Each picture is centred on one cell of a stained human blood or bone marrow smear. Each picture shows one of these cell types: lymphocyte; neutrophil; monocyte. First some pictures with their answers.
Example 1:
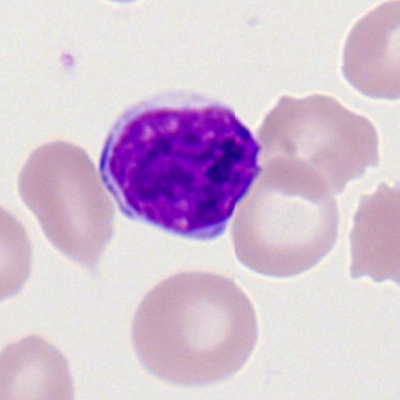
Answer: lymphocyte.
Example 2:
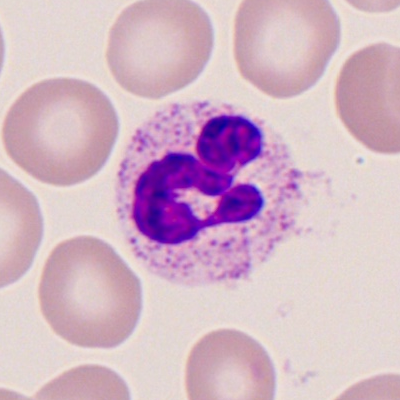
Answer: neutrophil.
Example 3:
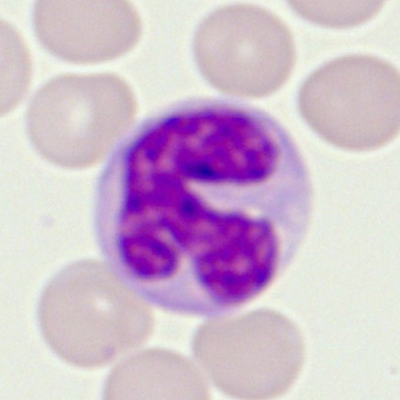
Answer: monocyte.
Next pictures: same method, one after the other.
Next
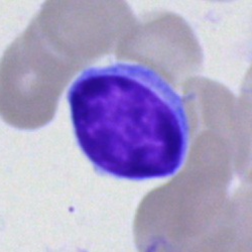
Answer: lymphocyte.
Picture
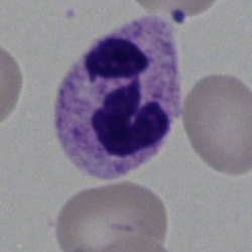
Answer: neutrophil.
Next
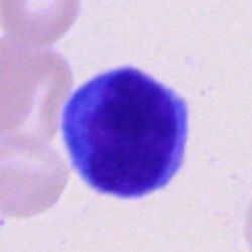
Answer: monocyte.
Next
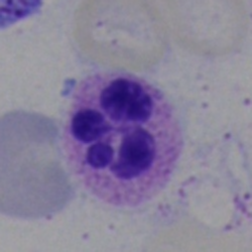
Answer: neutrophil.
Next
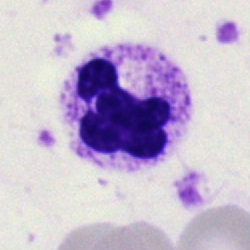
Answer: neutrophil.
